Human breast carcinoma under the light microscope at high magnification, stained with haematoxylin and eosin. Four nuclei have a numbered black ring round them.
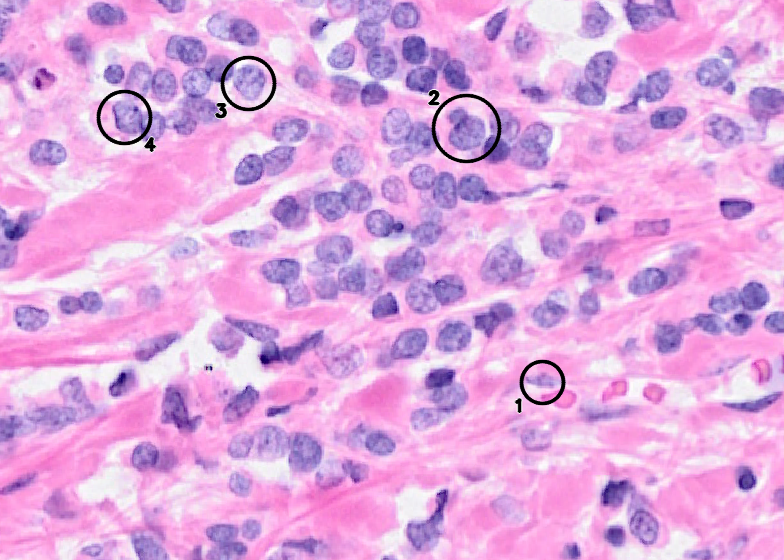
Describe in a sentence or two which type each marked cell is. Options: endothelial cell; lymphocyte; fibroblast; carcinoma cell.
Cell 1 is an endothelial cell. Cells 2, 3 and 4 are carcinoma cells.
